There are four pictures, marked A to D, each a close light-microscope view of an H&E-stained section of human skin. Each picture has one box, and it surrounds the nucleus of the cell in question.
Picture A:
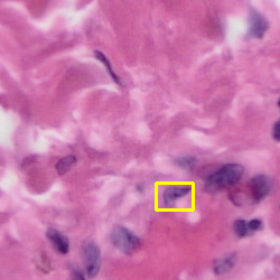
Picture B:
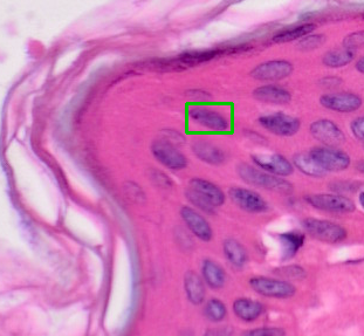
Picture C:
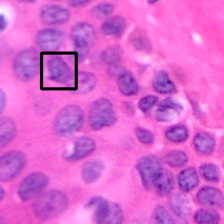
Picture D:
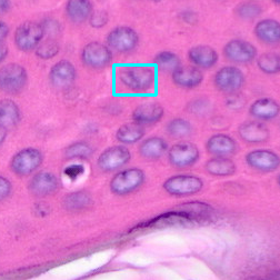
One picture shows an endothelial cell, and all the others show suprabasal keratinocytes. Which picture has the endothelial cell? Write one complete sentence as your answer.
Picture A is the one that shows the endothelial cell.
